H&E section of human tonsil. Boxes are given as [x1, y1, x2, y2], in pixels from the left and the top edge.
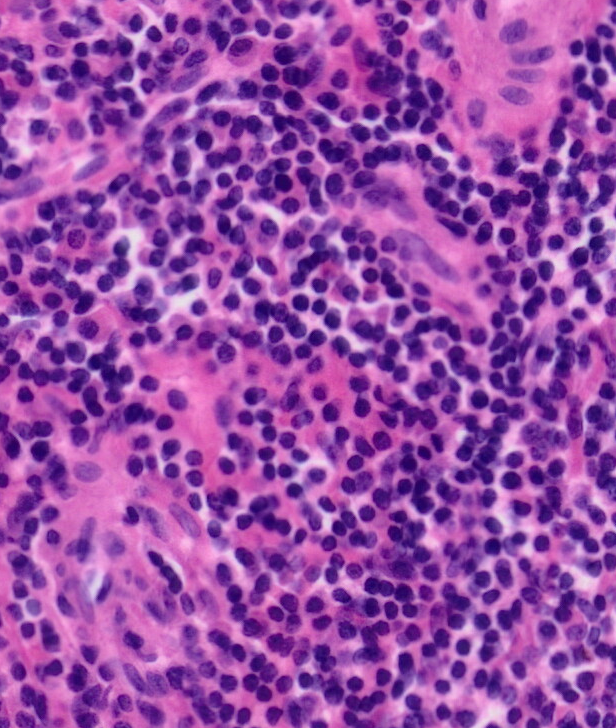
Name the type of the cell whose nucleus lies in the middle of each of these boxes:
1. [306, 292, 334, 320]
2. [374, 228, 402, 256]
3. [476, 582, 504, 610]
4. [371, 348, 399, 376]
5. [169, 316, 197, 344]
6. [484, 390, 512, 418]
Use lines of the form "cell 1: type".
cell 1: small lymphocyte
cell 2: endothelial cell
cell 3: small lymphocyte
cell 4: small lymphocyte
cell 5: plasma cell
cell 6: small lymphocyte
